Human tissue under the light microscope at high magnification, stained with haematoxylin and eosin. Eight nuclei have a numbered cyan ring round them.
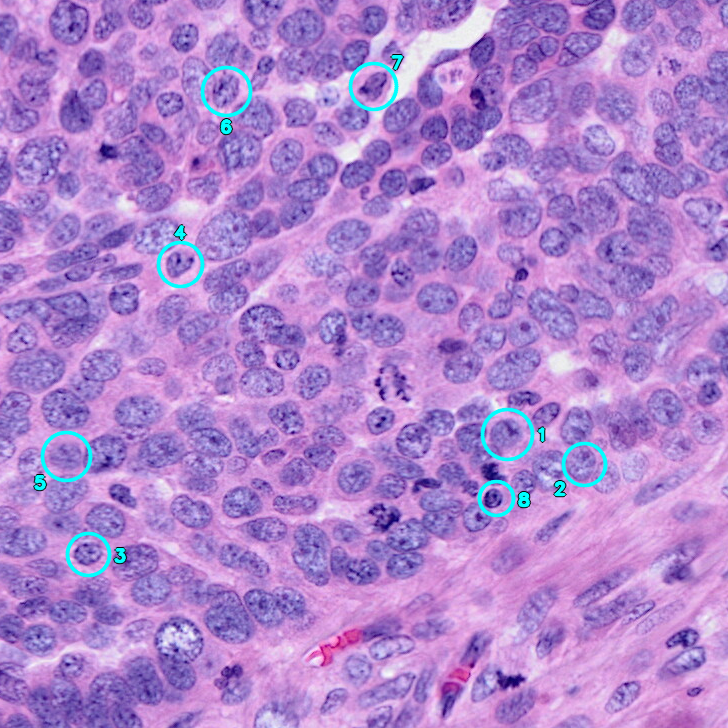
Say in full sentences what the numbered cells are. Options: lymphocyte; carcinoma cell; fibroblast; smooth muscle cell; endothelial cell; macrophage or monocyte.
Cell 1 is a carcinoma cell, cell 2 is a carcinoma cell, cell 3 is a macrophage or monocyte, cell 4 is a macrophage or monocyte, cell 5 is a carcinoma cell, cell 6 is a macrophage or monocyte, cell 7 is a macrophage or monocyte and cell 8 is a lymphocyte.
